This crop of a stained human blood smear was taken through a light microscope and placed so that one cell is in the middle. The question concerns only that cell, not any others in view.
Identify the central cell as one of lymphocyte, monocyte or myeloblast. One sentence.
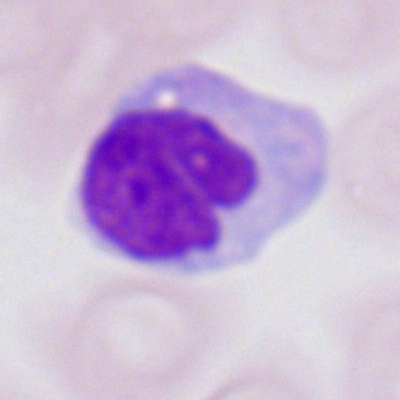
The centrally placed cell is classified as a monocyte.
